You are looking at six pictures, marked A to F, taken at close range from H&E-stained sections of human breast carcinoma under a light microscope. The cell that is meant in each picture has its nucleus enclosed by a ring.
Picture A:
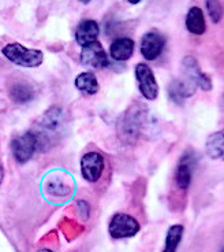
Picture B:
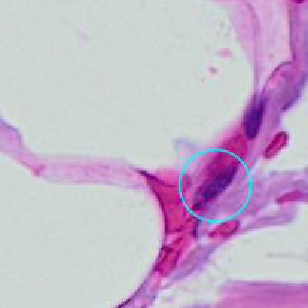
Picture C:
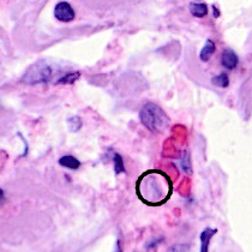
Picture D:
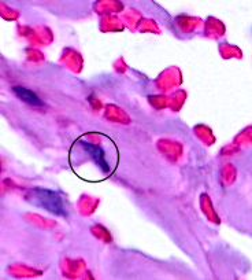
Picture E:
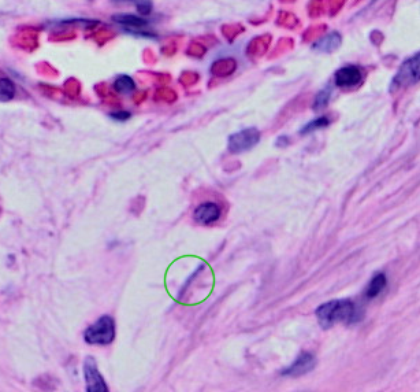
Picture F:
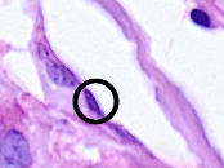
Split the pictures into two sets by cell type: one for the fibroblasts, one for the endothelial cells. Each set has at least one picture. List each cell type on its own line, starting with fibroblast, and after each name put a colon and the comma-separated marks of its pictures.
fibroblast: D, E, F
endothelial cell: A, B, C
